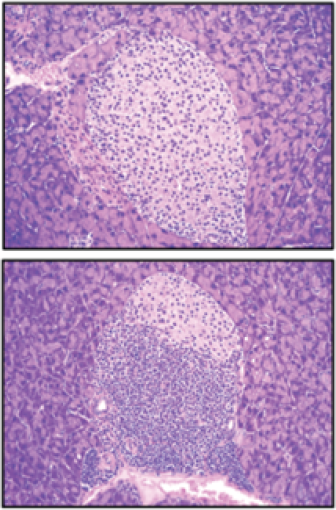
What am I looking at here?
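These are pancreas sections showing islets of Langerhans within exocrine tissue, in two images one above the other. In the upper image a large oval islet of pale pink cells with small, evenly spaced nuclei lies sharply set off from the surrounding darker purple-pink acinar tissue. In the lower image the pale islet tissue occupies only the upper part of the island. Below and beside it lies a dense mass of closely packed, small, round, dark-blue nuclei with scant cytoplasm, consistent with mononuclear cell infiltration. A vessel runs along the lower edge of this infiltrate.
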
